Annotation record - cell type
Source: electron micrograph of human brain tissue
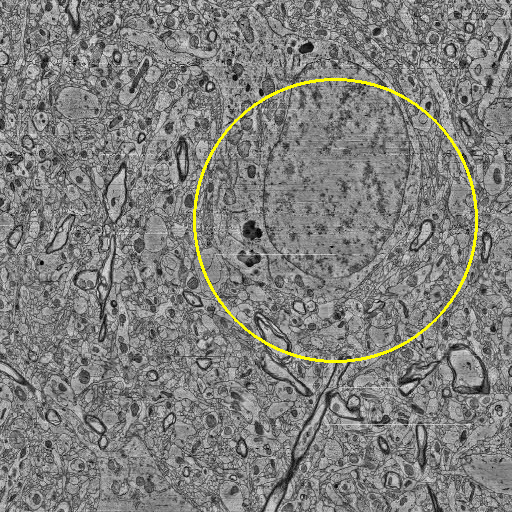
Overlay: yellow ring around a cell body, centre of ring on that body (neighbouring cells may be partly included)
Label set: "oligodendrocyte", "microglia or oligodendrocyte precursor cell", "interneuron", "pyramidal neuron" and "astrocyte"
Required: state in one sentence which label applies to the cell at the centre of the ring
This cell should be labelled as a pyramidal neuron.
